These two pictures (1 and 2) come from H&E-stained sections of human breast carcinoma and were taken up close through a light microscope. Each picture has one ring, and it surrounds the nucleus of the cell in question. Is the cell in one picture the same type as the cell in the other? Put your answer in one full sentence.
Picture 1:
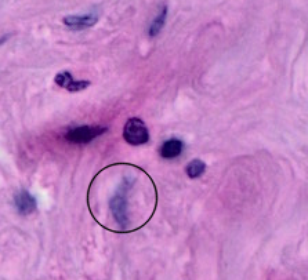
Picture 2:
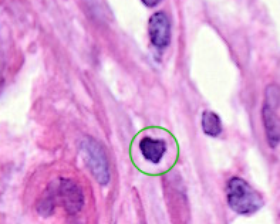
No, picture 1 shows a fibroblast and picture 2 shows a lymphocyte.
